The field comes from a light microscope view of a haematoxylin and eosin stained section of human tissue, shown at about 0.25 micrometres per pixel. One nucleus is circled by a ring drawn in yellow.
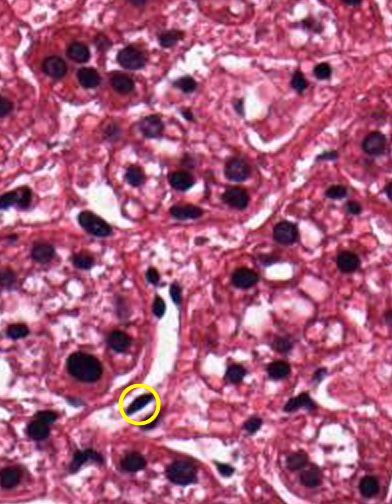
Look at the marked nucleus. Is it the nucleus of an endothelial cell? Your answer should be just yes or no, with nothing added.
yes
